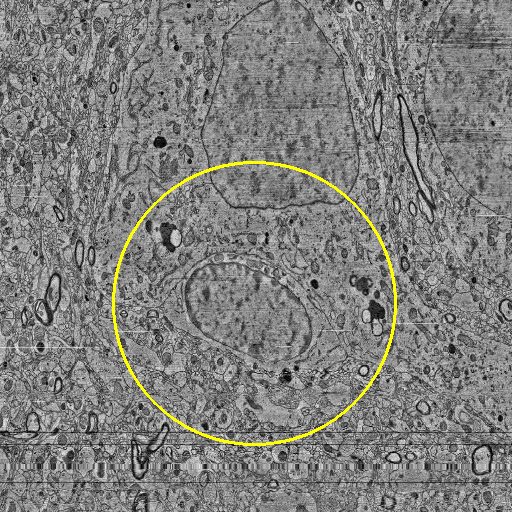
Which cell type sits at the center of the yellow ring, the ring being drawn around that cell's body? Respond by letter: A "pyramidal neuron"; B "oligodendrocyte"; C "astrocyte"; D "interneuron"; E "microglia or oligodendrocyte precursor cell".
E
